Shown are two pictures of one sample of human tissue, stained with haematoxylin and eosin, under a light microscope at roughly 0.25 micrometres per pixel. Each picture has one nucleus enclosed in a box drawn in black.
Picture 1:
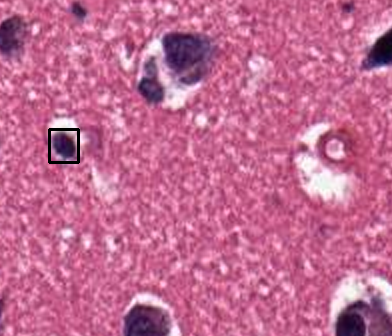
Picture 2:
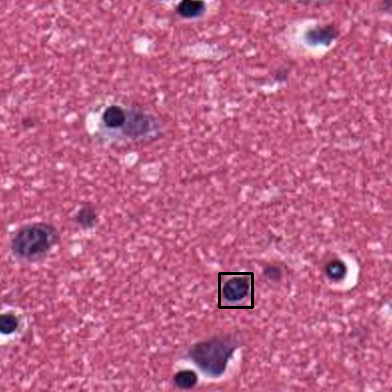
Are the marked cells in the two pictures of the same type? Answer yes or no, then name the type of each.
Yes, both are oligodendrocytes.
